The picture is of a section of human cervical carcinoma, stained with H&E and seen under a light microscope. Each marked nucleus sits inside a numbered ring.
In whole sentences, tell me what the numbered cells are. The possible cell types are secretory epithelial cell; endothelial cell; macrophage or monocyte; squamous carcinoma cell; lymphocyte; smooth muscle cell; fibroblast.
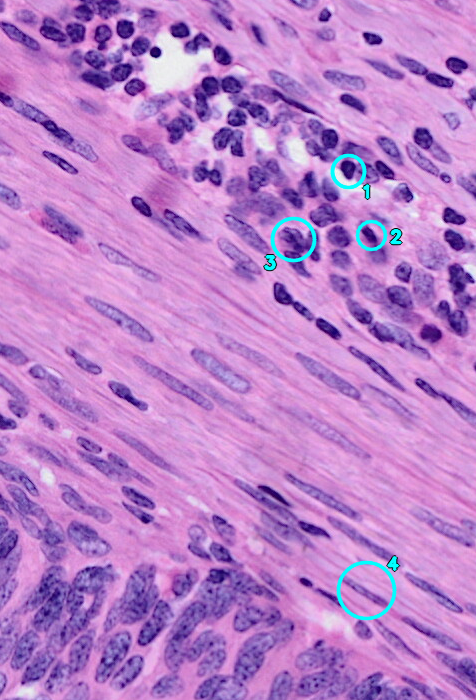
Cells 1, 2 and 3 are lymphocytes. Cell 4 is a fibroblast.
